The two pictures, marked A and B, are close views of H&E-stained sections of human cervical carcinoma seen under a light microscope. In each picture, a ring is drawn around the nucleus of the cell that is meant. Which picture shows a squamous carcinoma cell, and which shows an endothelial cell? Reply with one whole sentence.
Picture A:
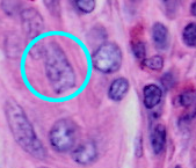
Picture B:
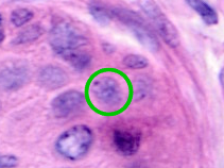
The cell in picture A is an endothelial cell, and the one in picture B is a squamous carcinoma cell.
